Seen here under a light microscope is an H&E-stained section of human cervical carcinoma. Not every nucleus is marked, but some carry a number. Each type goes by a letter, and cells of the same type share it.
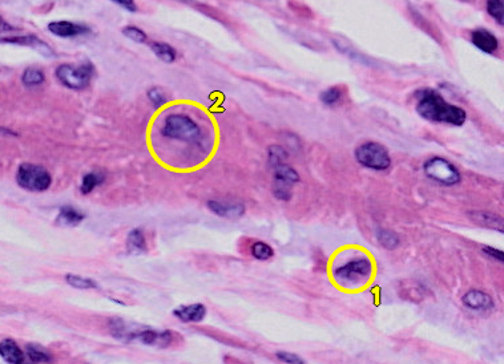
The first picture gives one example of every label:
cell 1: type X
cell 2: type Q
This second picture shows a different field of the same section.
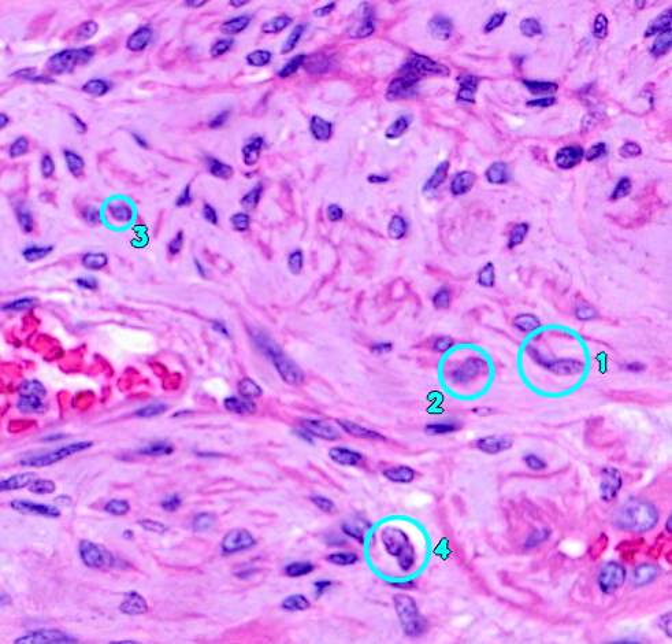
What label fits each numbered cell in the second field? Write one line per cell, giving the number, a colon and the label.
1: type Q
2: type Q
3: type Q
4: type X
